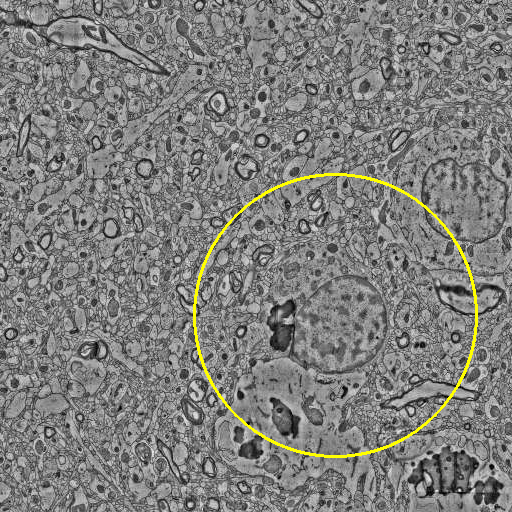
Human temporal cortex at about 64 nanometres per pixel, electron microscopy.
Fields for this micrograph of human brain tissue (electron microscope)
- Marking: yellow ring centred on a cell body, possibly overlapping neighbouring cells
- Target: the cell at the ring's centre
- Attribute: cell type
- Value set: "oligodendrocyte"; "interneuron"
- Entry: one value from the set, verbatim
oligodendrocyte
